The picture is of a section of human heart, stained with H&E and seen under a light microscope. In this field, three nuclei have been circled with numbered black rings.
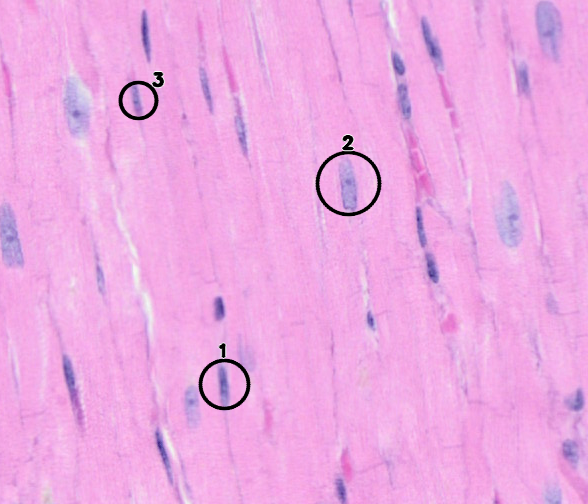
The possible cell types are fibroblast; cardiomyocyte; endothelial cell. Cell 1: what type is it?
endothelial cell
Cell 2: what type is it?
cardiomyocyte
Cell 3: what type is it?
endothelial cell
